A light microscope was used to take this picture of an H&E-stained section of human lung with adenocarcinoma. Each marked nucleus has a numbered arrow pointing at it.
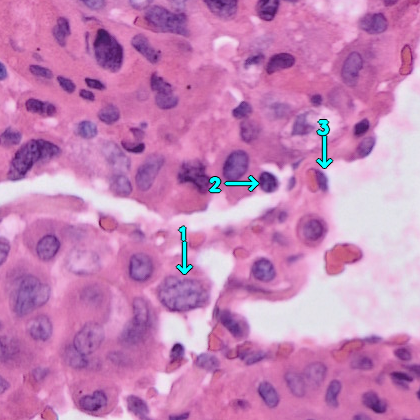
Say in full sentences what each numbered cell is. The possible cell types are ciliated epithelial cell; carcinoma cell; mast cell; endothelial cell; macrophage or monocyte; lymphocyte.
Cell 1 is a carcinoma cell. Cell 2 is a lymphocyte. Cell 3 is an endothelial cell.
